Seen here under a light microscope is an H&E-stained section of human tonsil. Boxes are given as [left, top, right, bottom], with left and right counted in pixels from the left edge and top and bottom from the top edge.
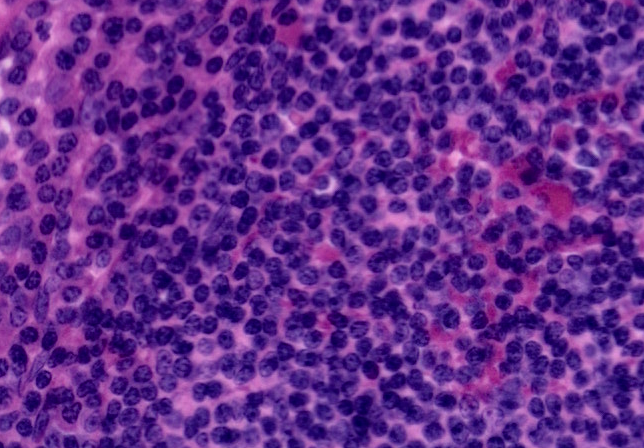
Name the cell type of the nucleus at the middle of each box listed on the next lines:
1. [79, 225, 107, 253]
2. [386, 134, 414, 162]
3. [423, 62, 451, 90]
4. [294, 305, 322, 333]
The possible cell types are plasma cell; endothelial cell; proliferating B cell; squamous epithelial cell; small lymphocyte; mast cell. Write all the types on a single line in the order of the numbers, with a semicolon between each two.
plasma cell; small lymphocyte; small lymphocyte; small lymphocyte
